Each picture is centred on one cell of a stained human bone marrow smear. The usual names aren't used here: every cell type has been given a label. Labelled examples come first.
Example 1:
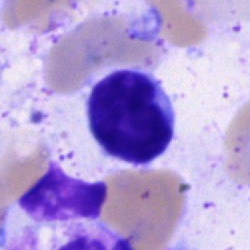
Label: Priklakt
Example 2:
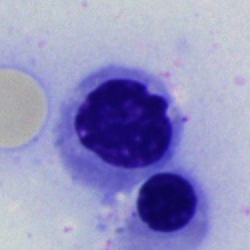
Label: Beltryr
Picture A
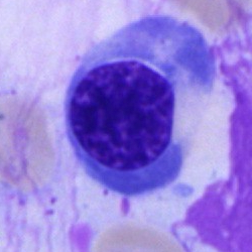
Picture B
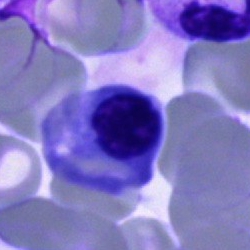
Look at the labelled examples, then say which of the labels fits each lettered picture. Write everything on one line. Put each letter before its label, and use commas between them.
A Beltryr, B Beltryr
